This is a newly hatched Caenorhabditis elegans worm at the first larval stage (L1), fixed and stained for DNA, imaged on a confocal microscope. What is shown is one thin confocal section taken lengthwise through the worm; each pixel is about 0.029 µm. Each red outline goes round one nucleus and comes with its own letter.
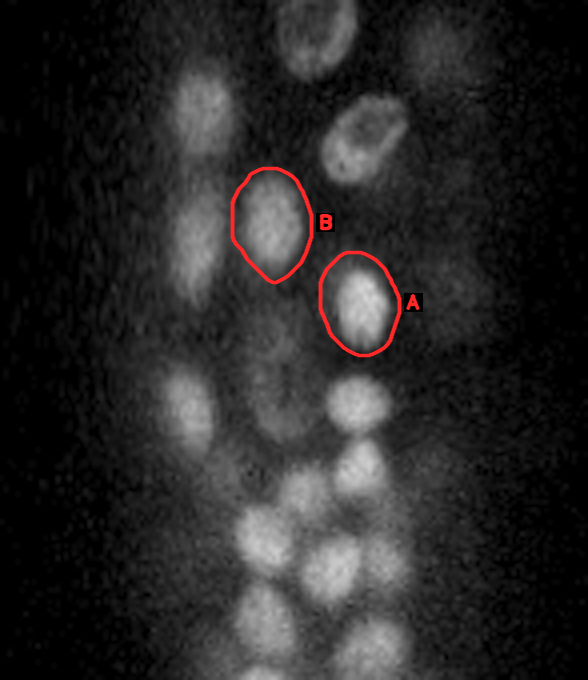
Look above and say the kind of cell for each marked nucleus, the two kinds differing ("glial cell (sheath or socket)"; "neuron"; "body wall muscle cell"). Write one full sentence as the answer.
One is from a neuron, namely A, and the other, B, is from a glial cell (sheath or socket).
